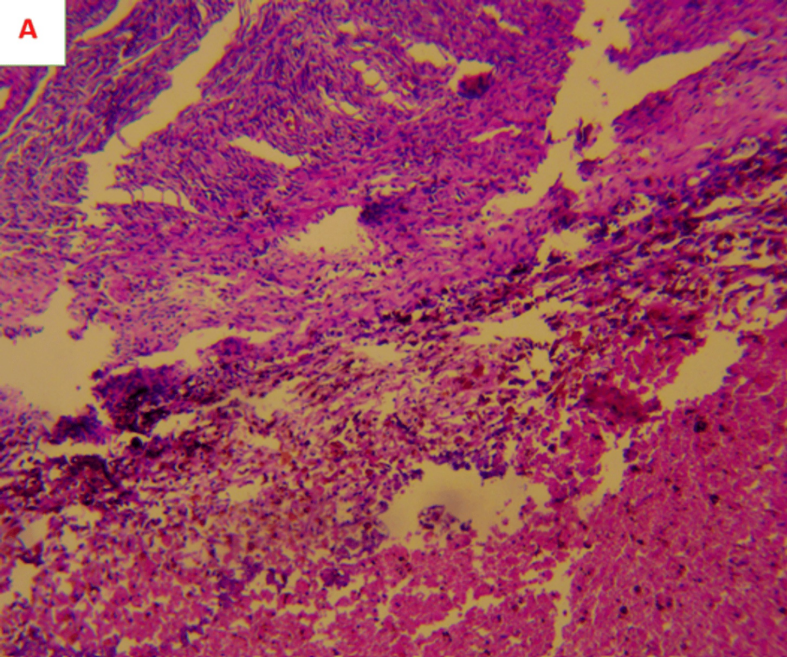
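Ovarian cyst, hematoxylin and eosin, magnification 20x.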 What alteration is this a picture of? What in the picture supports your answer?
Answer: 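Hemorrhages. The lower part of the panel is filled with sheets of loose red-pink red blood cells. Red blood cells are spread between the spindle-shaped stromal cells in the middle of the panel.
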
